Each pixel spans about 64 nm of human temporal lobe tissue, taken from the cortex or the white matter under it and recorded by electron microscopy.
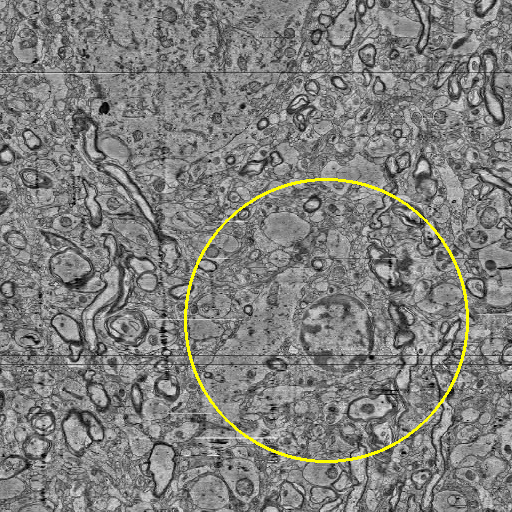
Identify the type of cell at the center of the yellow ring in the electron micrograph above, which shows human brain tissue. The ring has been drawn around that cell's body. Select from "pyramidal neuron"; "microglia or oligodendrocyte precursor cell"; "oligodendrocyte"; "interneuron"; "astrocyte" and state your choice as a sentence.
The yellow ring is centered on the body of a microglial cell or oligodendrocyte precursor cell.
